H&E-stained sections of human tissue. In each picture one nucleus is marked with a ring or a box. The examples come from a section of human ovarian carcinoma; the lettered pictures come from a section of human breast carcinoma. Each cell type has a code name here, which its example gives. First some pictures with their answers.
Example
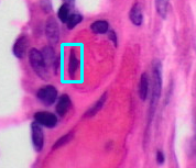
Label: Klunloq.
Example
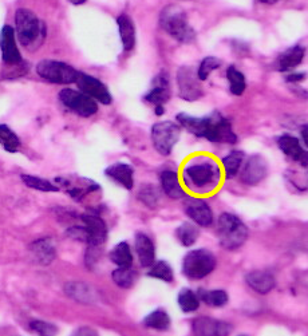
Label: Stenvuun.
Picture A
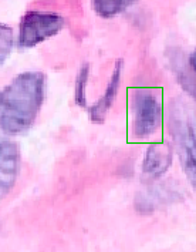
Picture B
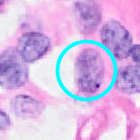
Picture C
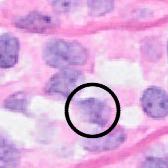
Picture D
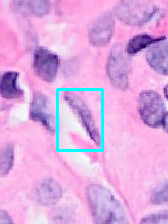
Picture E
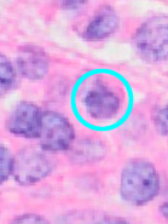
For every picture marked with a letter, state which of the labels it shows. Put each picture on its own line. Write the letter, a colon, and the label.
A: Klunloq.
B: Stenvuun.
C: Stenvuun.
D: Klunloq.
E: Stenvuun.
